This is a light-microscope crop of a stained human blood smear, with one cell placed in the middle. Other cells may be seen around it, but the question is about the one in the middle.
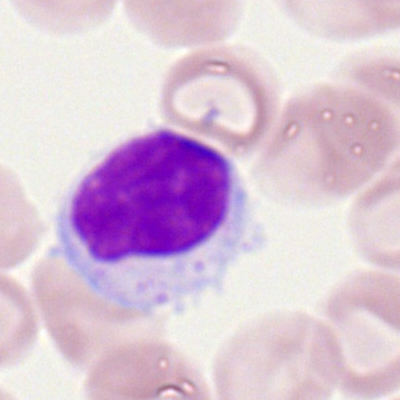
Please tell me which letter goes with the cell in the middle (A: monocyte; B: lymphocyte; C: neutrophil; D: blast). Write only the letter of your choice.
B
